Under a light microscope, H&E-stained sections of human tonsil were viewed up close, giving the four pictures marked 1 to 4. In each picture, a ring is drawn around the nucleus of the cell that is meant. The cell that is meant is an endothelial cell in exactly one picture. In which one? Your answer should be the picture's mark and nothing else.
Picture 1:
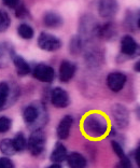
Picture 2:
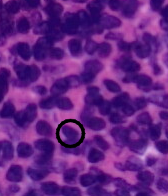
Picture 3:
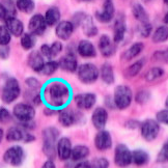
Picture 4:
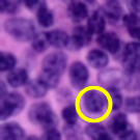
1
